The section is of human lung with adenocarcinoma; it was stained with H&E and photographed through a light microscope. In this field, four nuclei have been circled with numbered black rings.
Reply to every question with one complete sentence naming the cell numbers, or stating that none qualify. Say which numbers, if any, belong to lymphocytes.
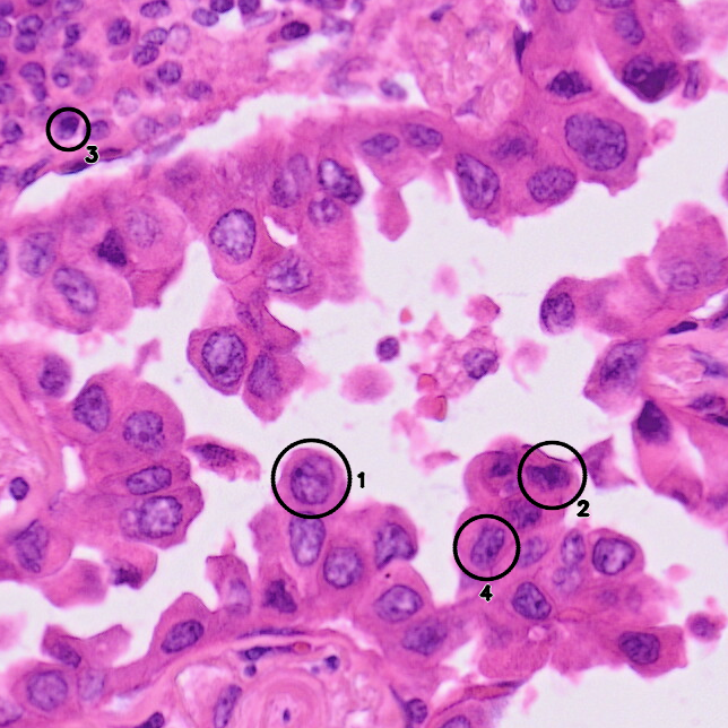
The one cell that is a lymphocyte is cell 3, and no other.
